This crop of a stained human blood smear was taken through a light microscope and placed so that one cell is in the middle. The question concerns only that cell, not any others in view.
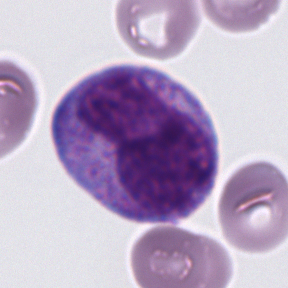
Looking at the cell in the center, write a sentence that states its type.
The cell marked by its central position in the crop is an atypical promyelocyte.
